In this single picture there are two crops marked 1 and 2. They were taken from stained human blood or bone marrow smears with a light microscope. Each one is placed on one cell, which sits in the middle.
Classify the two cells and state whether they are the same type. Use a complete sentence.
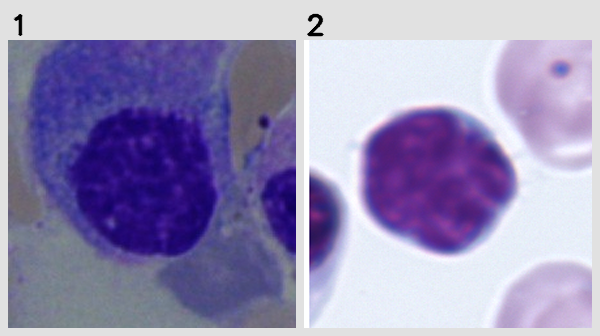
No, a lymphocyte is the cell of crop 2, while a plasma cell is the cell of crop 1.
